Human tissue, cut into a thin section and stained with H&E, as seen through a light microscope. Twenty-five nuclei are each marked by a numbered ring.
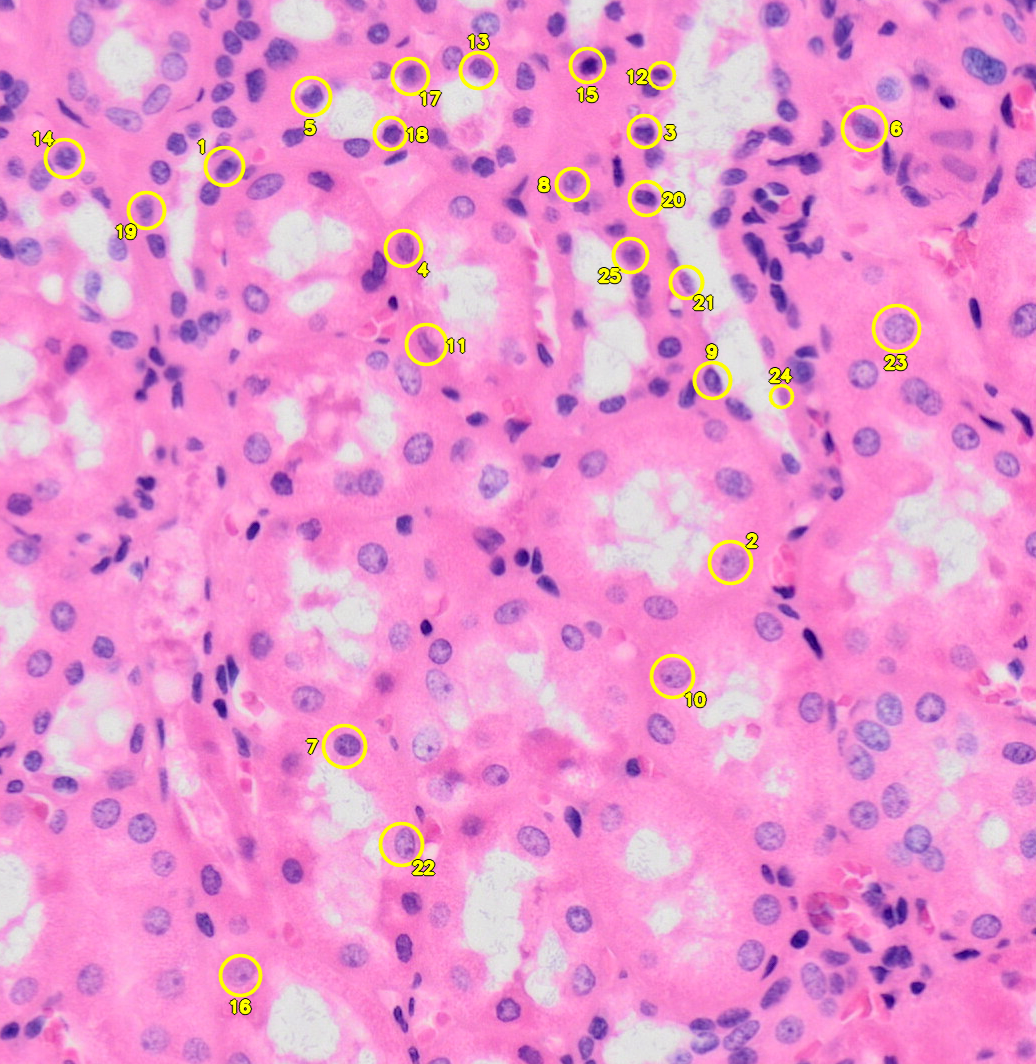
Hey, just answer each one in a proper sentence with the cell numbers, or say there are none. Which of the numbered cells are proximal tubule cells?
Marked by the numbers 2, 4, 7, 10, 11, 16, 22 and 23 are cells that are proximal tubule cells.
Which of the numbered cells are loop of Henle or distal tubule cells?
The cells numbered 3, 5, 8, 9, 12, 13, 15, 17, 18, 20, 21, 24 and 25 are identified as loop of Henle or distal tubule cells.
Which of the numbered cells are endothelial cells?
Cell 6 is the single numbered cell that is an endothelial cell.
